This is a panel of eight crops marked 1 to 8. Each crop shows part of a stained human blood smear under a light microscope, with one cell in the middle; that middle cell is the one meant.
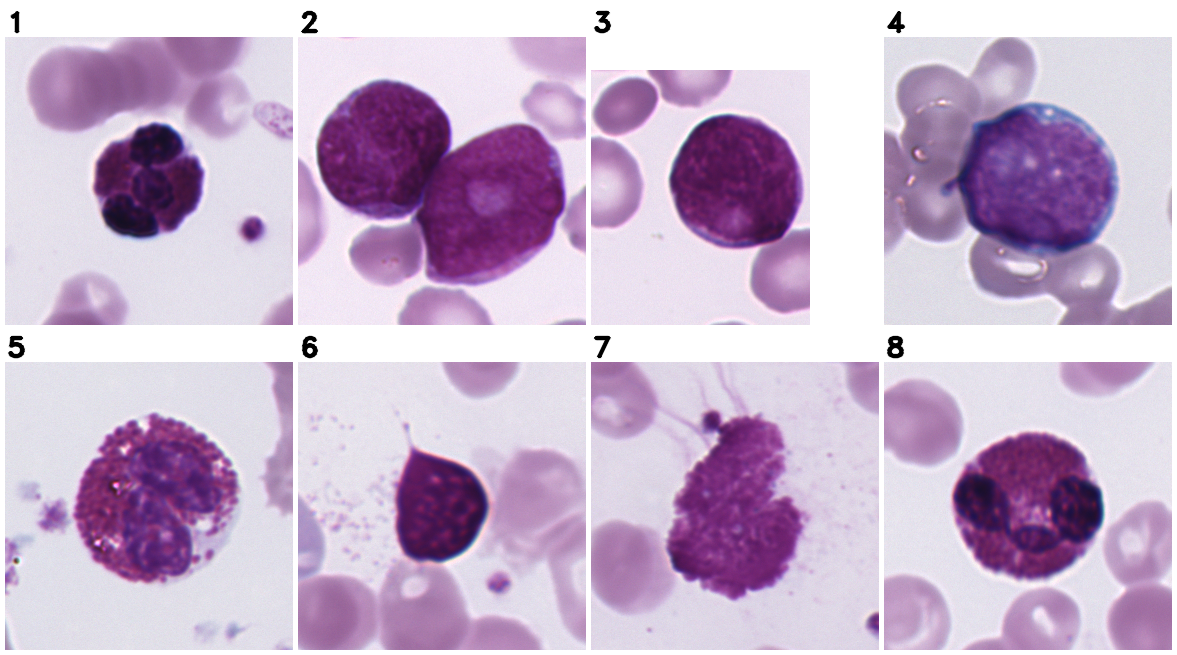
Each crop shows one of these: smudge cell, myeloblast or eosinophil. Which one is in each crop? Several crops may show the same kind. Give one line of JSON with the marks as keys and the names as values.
{"1": "eosinophil", "2": "myeloblast", "3": "myeloblast", "4": "myeloblast", "5": "eosinophil", "6": "smudge cell", "7": "smudge cell", "8": "eosinophil"}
